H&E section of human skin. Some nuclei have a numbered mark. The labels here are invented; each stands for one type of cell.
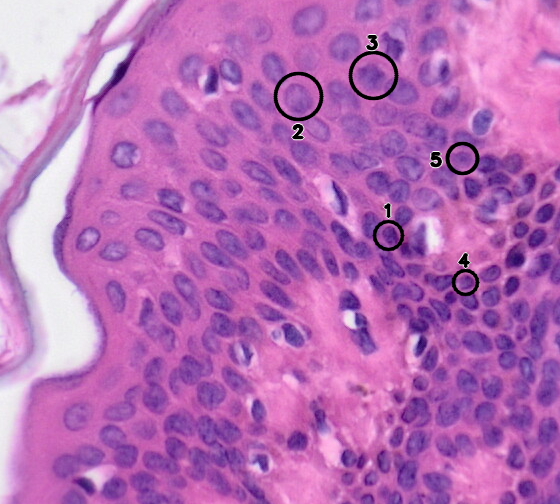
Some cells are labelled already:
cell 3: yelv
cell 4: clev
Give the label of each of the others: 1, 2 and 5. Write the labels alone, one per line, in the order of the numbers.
clev
yelv
clev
